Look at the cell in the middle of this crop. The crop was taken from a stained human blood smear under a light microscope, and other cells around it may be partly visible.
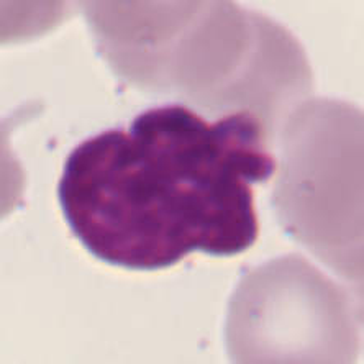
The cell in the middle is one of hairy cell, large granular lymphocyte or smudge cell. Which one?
smudge cell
